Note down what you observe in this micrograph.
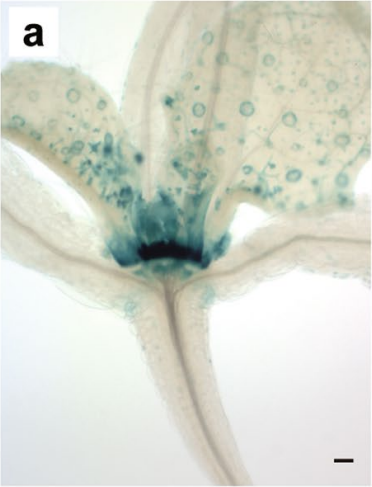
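The stain spreads paler into the surrounding region at the bases of the young leaves. On the leaf blades, scattered small blue rings and spots are visible in the epidermis. The stalks themselves are largely pale, with their veins showing as faint lines.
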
